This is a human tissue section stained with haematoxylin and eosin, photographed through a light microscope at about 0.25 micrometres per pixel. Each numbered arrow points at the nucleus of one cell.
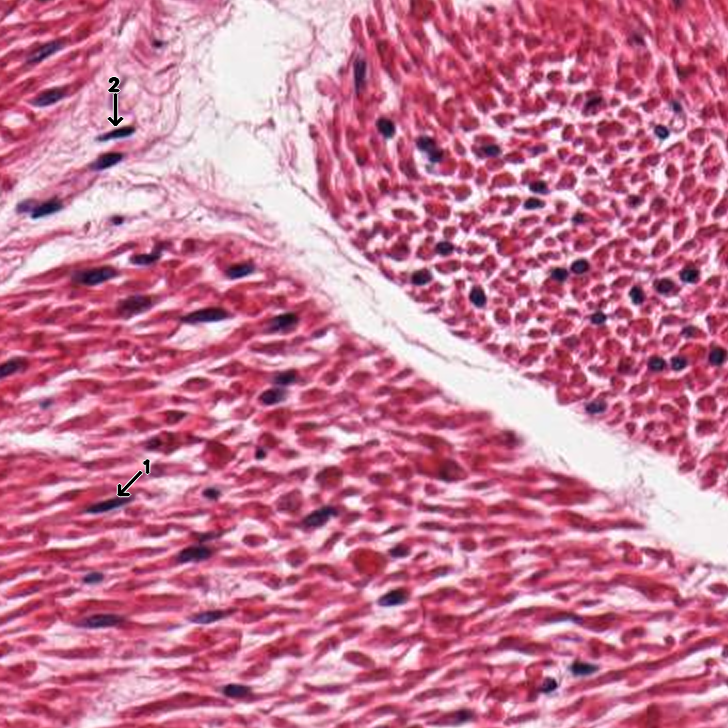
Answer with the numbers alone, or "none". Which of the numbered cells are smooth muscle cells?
1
